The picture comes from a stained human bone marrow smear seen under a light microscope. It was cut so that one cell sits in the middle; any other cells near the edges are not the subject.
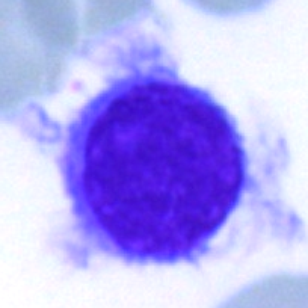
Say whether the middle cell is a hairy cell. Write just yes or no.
yes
